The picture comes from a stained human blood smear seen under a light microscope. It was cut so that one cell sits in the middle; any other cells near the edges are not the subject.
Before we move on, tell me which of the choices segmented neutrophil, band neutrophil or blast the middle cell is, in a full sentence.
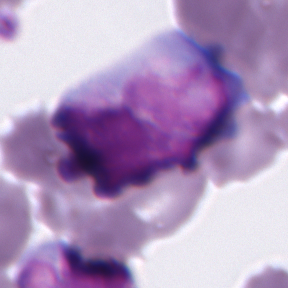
Here the centrally located cell is a blast.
